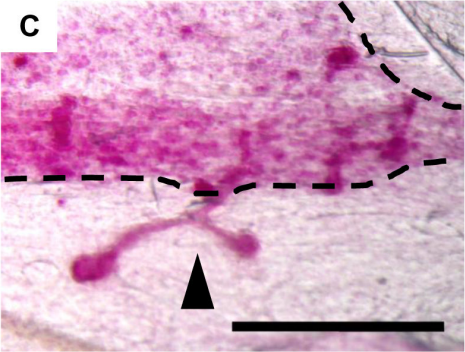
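From the lower edge of this band a single slender duct emerges and branches in two, each branch ending in a swollen, club-shaped tip resembling an end bud. The surrounding fat pad is pale and largely free of stained epithelium.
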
